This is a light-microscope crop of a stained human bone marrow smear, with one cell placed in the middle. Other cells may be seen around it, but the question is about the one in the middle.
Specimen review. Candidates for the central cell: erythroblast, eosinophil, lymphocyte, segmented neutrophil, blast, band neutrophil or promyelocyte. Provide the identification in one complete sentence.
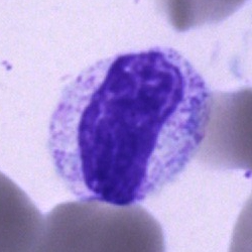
This crop is built around a band neutrophil at its centre.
